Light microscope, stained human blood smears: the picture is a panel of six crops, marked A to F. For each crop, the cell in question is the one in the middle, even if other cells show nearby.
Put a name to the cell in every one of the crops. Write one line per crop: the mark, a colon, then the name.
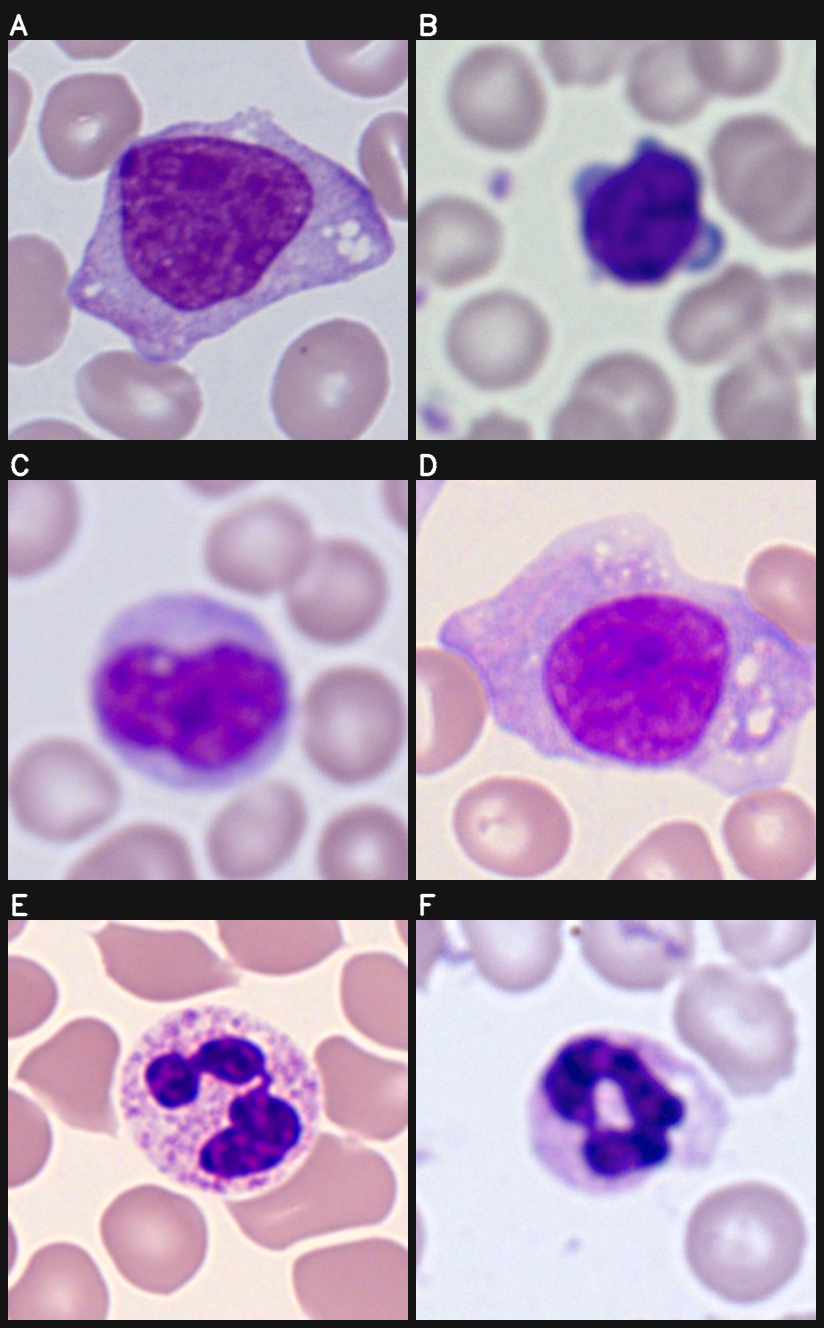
A: monocyte
B: lymphocyte
C: monocyte
D: monocyte
E: neutrophil
F: neutrophil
